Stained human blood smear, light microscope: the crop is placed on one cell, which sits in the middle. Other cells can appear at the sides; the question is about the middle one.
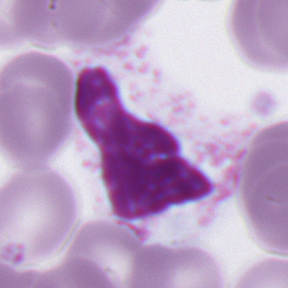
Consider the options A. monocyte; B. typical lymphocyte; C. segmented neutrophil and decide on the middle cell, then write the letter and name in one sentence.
The cell right in the middle is a segmented neutrophil, so option C is the one.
